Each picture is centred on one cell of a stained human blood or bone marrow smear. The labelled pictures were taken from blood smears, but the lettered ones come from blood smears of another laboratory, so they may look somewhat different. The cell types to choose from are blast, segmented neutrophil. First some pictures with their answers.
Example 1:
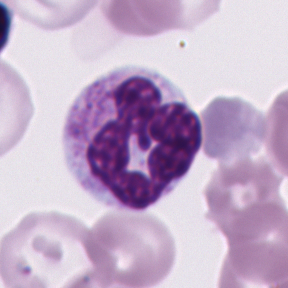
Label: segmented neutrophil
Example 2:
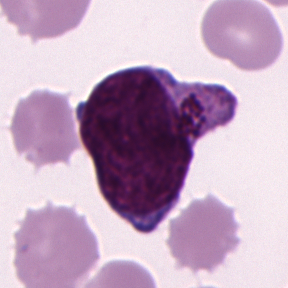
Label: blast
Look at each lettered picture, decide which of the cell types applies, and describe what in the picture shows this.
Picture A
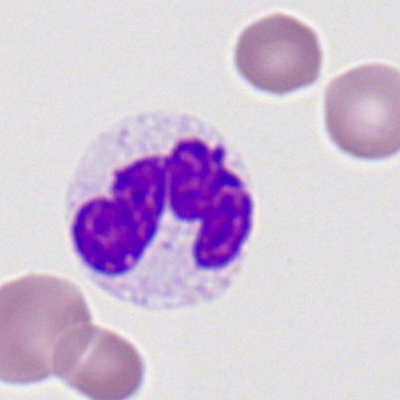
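segmented neutrophil. Evidence: The cytoplasm is plentiful and pale pinkish-lilac.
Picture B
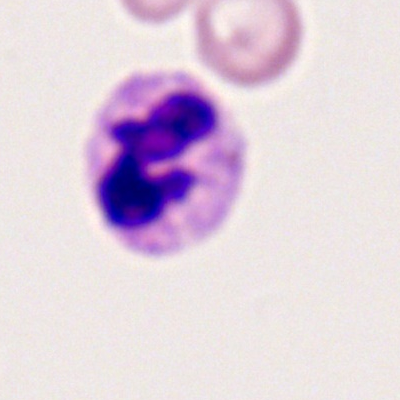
segmented neutrophil. Evidence: The cytoplasm is plentiful and pale pinkish-lilac.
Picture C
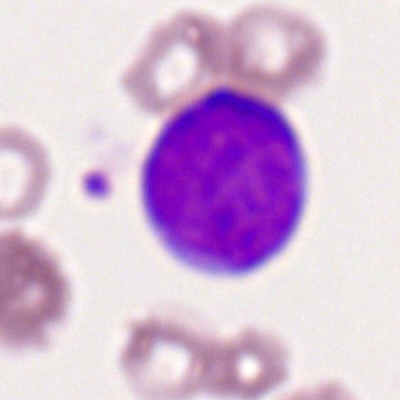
blast. Evidence: The nucleus fills almost the whole cell, leaving at most a very thin rim of cytoplasm.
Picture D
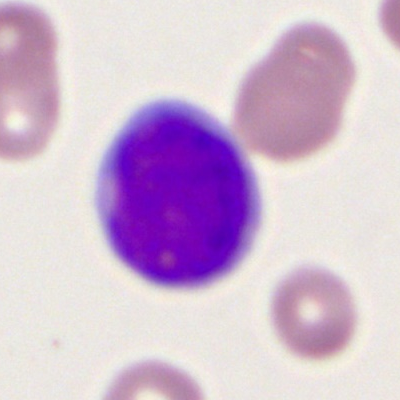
blast. Evidence: The cytoplasm forms only a thin blue rim around the nucleus.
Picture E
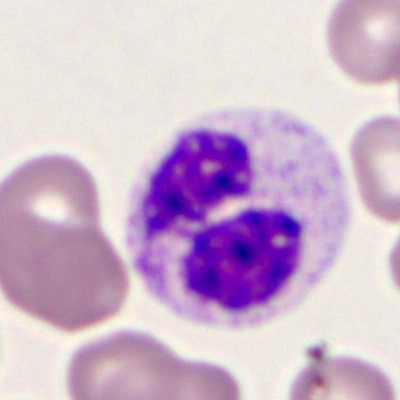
segmented neutrophil. Evidence: The cytoplasm is plentiful and pale pinkish-lilac.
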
